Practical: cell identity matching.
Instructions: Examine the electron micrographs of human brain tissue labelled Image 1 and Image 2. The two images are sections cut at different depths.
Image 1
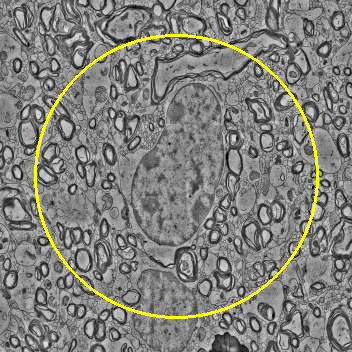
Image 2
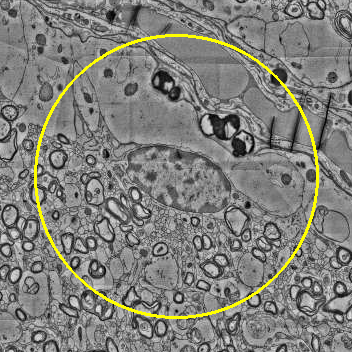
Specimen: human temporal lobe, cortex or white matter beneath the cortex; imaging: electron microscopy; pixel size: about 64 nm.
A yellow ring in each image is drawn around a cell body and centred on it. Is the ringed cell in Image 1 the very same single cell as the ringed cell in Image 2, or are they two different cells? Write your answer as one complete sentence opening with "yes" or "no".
No, the two rings enclose two cells that are not the same.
